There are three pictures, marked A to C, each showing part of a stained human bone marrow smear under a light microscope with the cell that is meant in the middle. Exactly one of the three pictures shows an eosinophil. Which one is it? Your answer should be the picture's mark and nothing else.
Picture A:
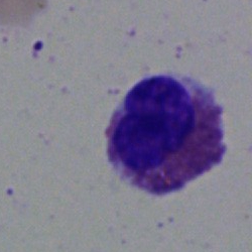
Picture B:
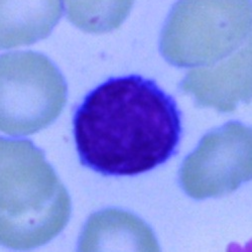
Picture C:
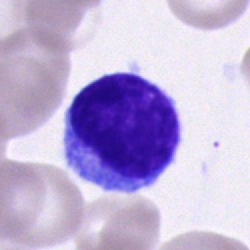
A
